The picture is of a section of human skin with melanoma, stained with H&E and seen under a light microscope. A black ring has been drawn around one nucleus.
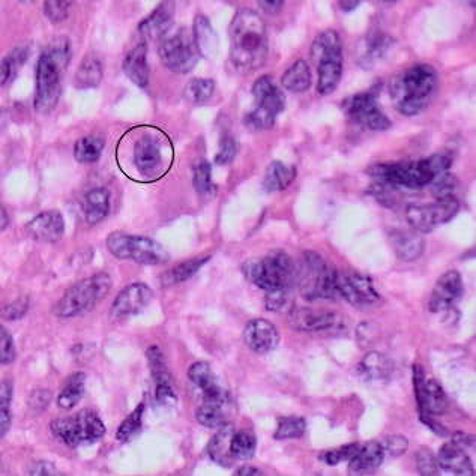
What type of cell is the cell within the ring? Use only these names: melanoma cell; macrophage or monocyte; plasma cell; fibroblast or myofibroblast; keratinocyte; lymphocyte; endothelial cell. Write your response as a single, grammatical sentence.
As to its cell type, the cell within the ring is a melanoma cell.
